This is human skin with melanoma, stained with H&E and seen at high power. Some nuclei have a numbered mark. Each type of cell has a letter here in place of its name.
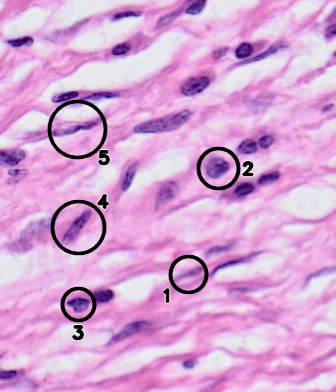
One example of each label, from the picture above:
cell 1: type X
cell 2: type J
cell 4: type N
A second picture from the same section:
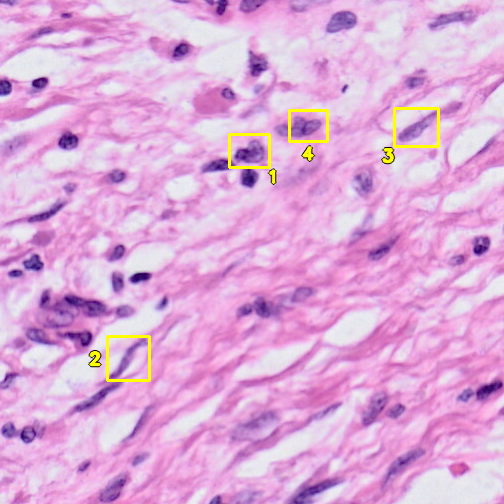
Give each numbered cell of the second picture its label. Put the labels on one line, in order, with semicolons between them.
type N; type X; type X; type N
